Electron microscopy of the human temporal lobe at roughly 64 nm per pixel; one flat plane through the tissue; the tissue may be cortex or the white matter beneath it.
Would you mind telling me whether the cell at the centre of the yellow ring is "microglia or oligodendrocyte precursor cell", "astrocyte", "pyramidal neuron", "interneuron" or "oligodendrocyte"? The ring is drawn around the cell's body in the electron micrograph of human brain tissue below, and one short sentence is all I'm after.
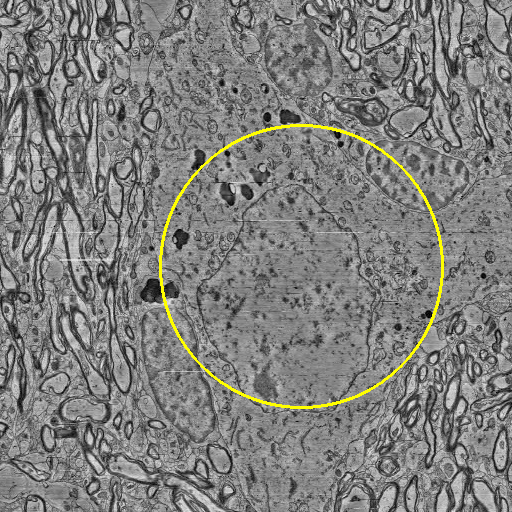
In the centre of the ring lies a pyramidal neuron.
